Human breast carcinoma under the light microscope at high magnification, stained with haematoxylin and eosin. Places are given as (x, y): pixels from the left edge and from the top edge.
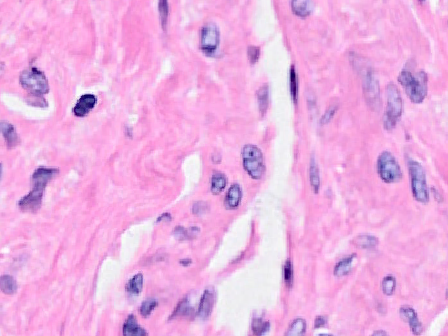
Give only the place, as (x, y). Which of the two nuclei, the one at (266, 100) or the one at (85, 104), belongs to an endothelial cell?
(266, 100)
